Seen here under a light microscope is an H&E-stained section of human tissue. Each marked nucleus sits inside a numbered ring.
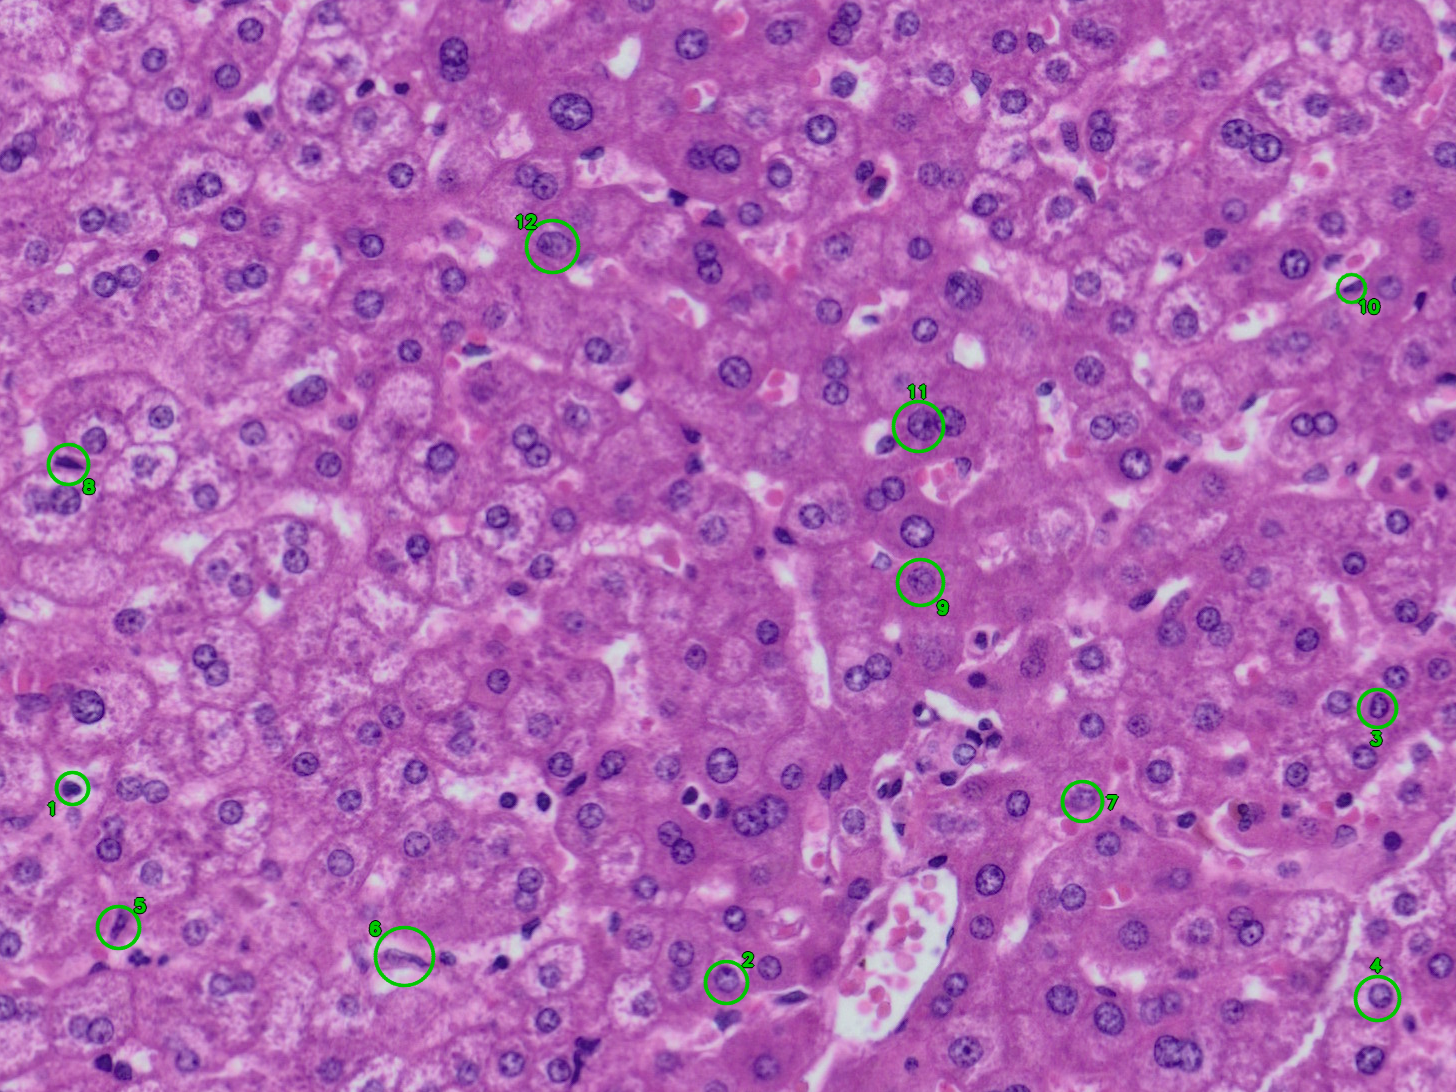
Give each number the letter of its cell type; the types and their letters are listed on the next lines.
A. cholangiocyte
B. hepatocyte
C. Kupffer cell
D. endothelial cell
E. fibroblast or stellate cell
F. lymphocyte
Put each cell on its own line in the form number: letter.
1: F
2: B
3: B
4: B
5: C
6: C
7: B
8: E
9: B
10: E
11: B
12: B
